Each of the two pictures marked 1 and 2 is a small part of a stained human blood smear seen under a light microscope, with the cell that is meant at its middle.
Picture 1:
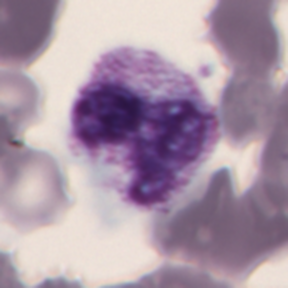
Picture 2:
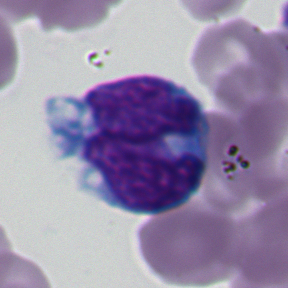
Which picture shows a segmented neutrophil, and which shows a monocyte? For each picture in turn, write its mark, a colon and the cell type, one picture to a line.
1: segmented neutrophil
2: monocyte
